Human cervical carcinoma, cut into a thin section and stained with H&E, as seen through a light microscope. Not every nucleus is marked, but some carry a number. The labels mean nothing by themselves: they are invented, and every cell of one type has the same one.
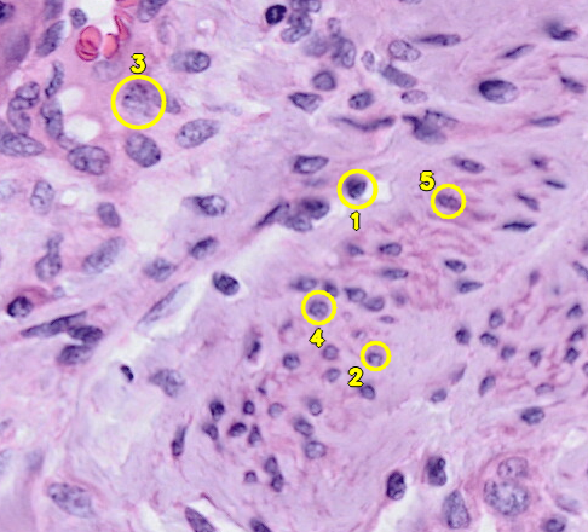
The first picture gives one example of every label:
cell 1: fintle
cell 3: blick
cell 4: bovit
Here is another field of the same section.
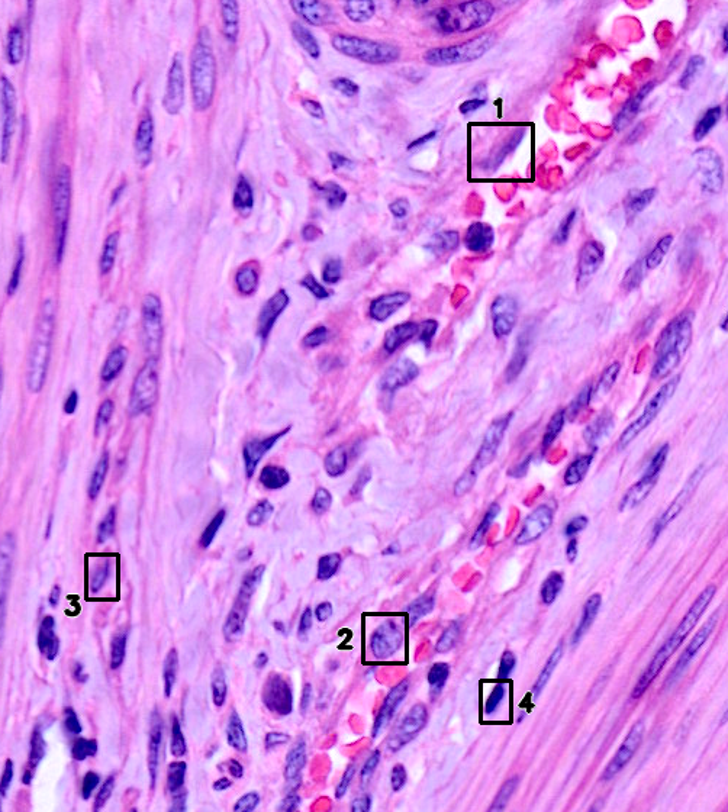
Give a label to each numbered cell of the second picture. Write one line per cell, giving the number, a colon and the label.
1: blick
2: blick
3: bovit
4: fintle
